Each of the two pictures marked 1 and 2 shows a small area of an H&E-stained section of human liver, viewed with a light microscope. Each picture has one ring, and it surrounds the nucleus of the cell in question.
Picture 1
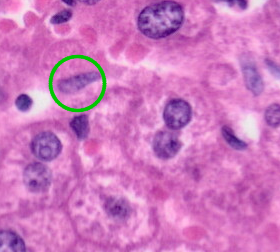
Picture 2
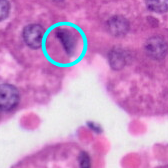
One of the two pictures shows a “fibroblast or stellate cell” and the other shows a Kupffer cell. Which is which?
1: Kupffer cell
2: fibroblast or stellate cell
